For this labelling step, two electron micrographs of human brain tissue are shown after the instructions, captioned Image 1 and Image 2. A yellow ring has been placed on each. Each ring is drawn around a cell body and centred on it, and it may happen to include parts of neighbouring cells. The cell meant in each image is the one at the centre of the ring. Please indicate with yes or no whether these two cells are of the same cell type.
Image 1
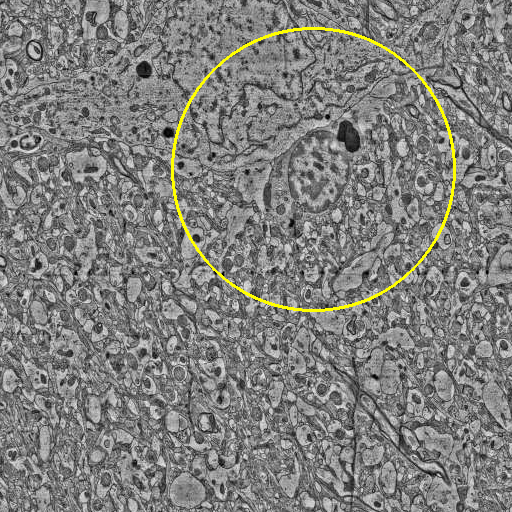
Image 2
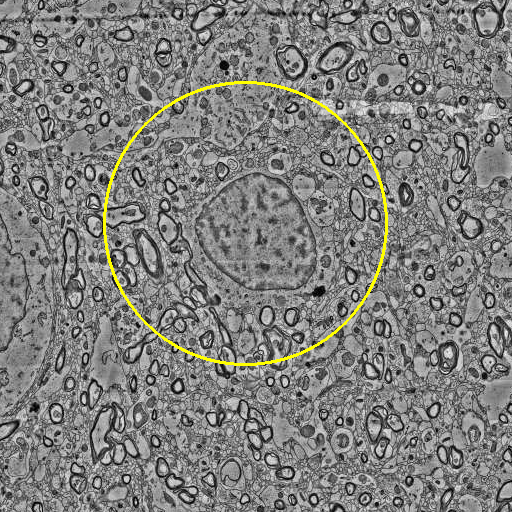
yes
